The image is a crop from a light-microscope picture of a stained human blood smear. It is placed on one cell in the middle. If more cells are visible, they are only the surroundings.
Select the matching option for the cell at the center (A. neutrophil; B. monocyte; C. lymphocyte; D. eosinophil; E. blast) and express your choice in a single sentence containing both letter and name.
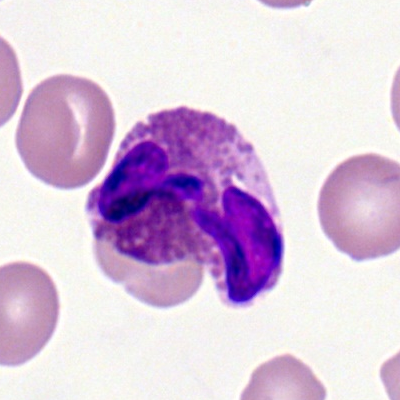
This one is option D, since the cell at the center is an eosinophil.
